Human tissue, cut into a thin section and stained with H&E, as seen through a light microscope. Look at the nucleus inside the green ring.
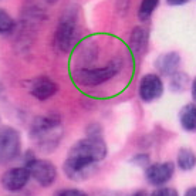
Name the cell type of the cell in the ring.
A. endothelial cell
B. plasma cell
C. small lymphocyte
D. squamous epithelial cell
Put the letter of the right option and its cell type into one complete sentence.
Option A gets it right: the cell in the ring is an endothelial cell.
